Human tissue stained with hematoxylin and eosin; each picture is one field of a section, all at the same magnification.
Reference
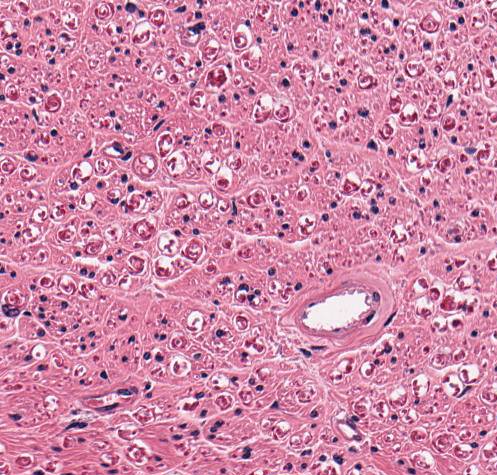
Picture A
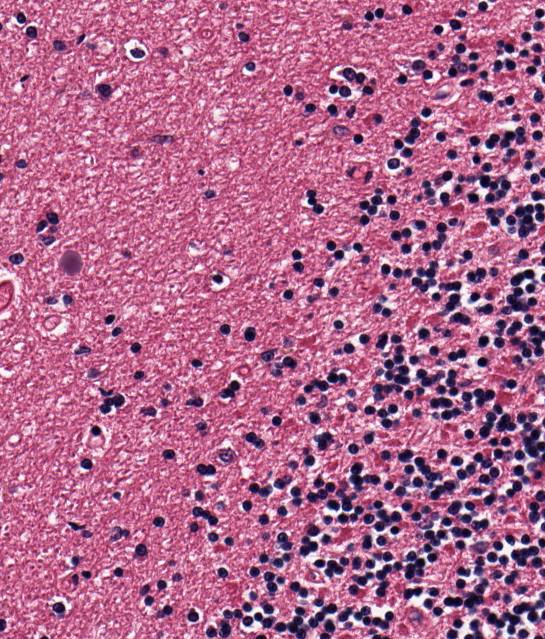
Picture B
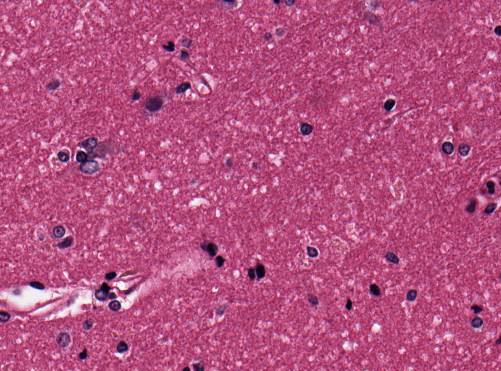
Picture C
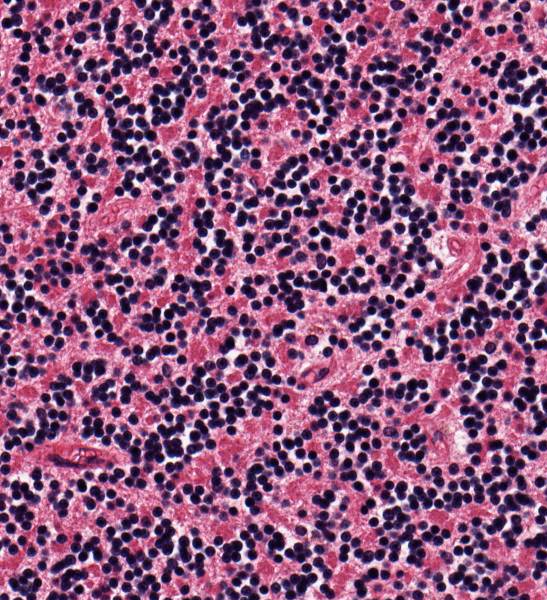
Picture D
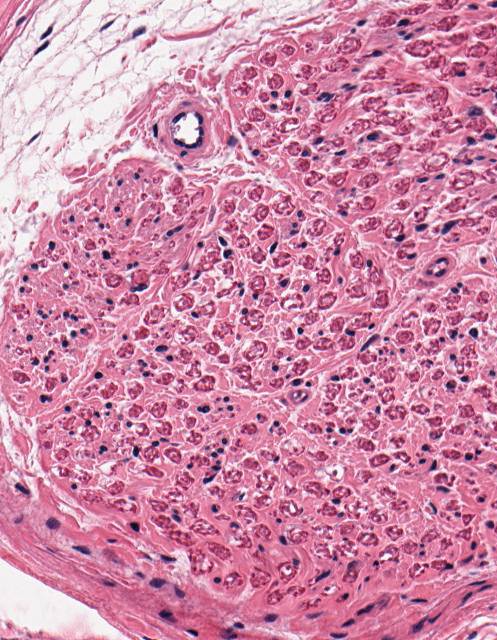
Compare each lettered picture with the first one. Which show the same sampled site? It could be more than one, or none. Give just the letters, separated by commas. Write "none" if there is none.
D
